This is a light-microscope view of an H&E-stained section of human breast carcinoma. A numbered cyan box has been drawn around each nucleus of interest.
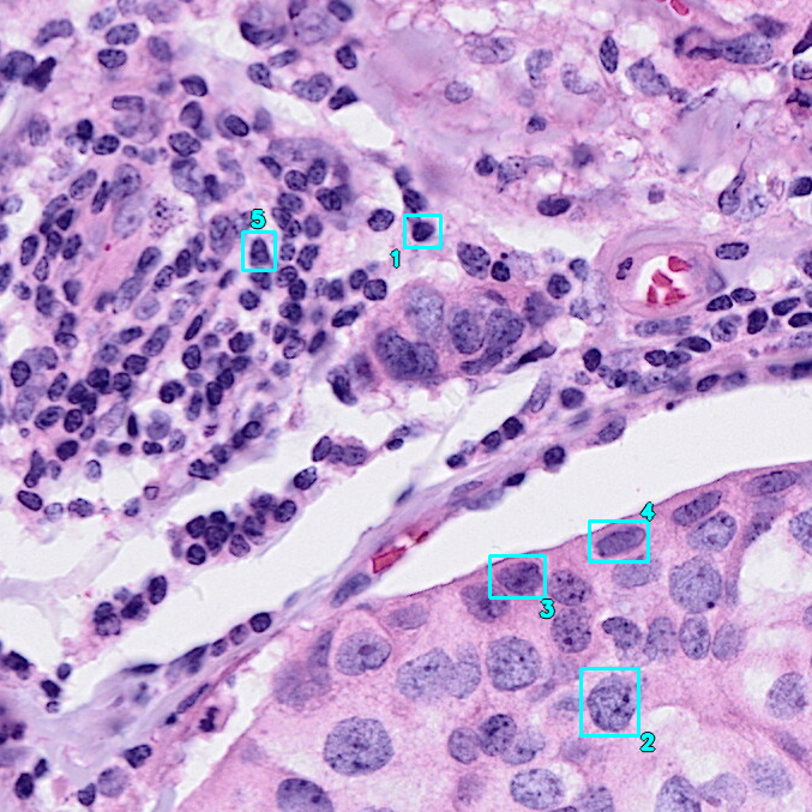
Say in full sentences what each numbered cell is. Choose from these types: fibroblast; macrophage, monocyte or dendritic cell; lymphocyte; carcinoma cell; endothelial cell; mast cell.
Cells 1 and 5 are lymphocytes. Cells 2, 3 and 4 are carcinoma cells.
